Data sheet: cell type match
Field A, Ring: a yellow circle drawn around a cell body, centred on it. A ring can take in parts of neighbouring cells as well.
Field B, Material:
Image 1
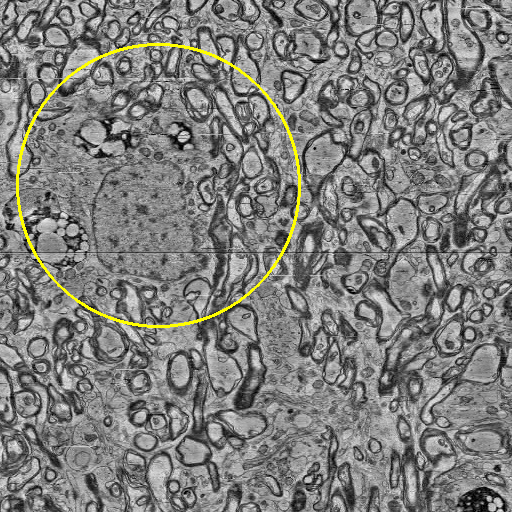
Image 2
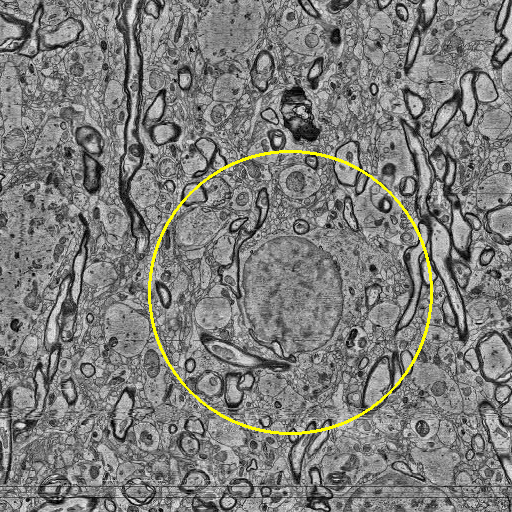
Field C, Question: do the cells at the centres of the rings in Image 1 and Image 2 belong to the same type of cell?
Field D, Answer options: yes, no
no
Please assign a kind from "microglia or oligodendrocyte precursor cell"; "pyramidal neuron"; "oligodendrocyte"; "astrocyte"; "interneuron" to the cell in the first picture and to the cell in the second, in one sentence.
In the first picture we have an astrocyte, and in the second, an oligodendrocyte.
